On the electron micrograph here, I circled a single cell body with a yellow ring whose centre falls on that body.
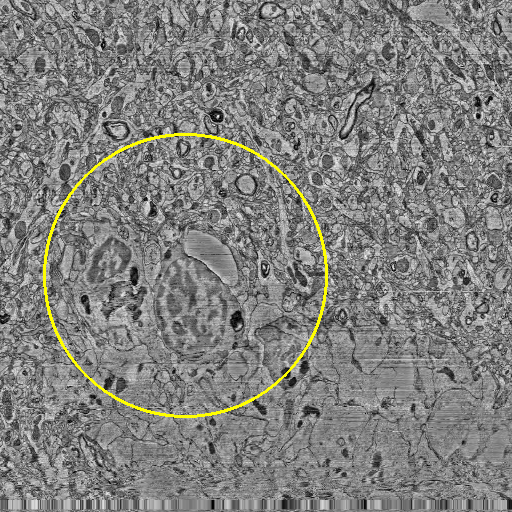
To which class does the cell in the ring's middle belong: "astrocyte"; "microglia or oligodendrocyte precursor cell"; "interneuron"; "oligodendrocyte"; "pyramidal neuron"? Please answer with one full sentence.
In this picture, the cell body circled at the ring's centre belongs to an oligodendrocyte.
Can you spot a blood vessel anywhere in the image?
Yes, the picture includes a blood vessel.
